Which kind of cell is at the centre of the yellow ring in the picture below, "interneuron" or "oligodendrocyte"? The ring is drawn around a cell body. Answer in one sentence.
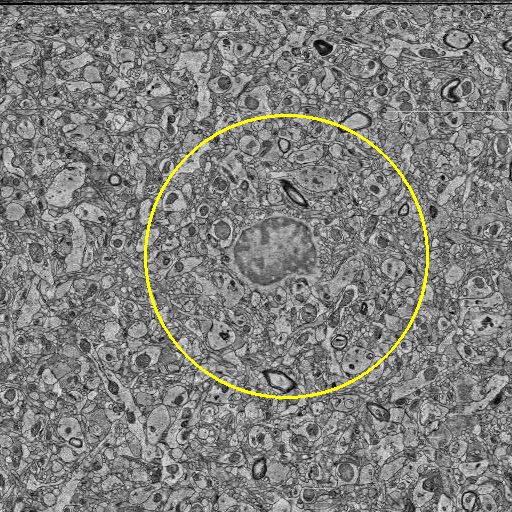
The ring's central cell is an oligodendrocyte.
